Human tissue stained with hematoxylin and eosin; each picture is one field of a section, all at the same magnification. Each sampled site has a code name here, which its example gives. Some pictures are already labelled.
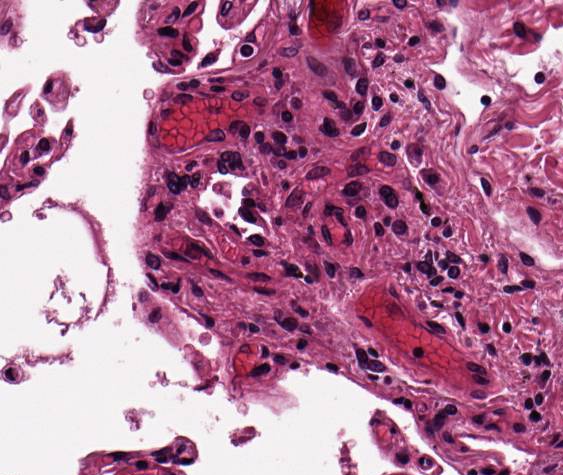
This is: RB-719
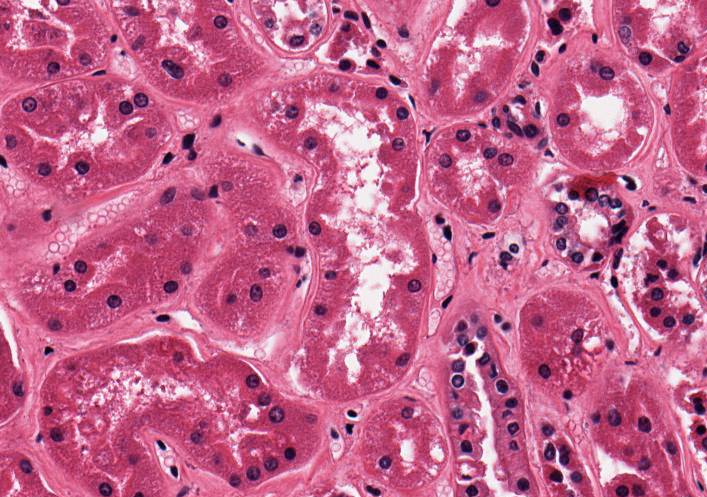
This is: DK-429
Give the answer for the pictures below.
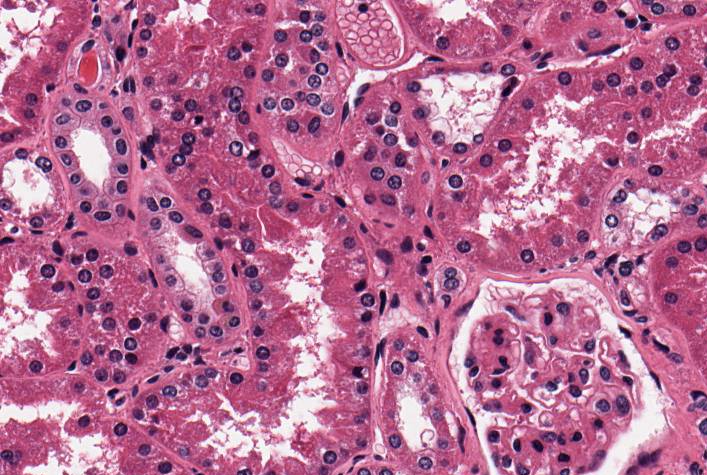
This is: DK-429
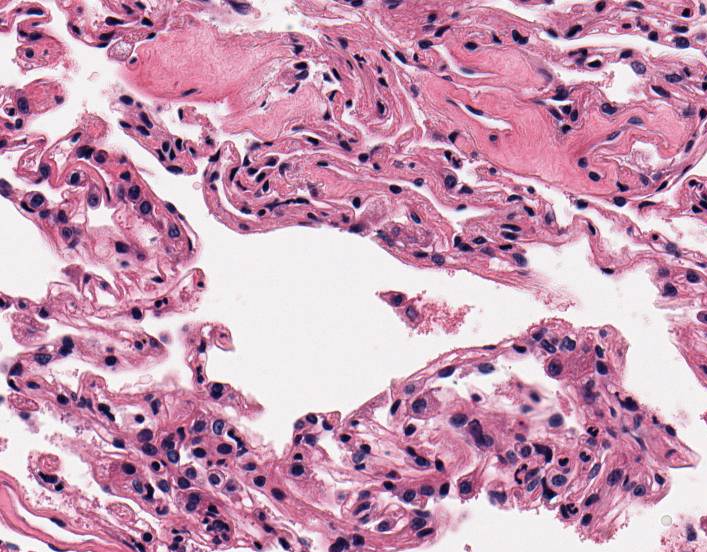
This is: RB-719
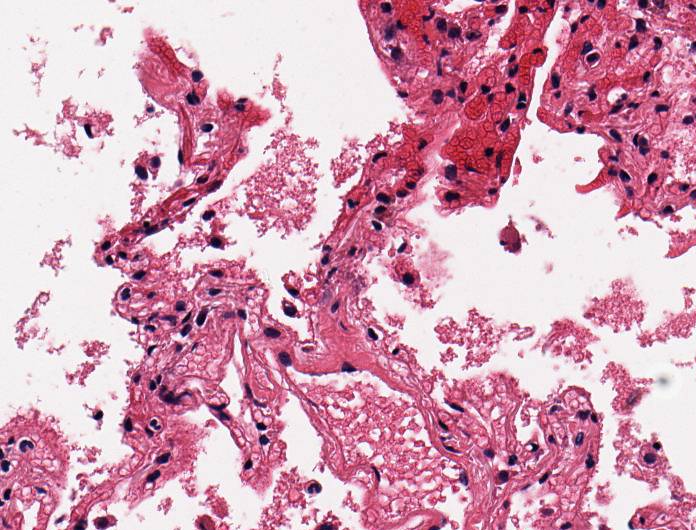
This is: RB-719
